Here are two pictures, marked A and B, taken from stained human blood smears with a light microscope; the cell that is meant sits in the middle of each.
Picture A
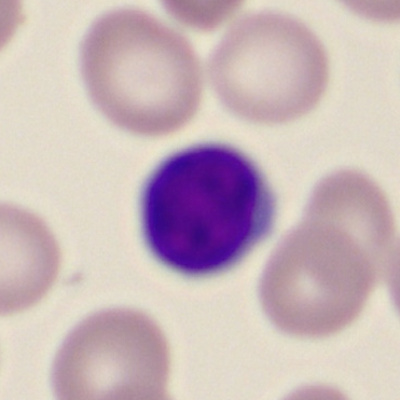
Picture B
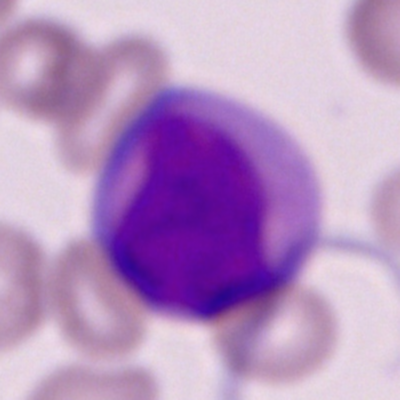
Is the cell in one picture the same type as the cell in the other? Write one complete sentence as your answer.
No, the types are not the same, since picture A shows a lymphocyte and picture B a myeloblast.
